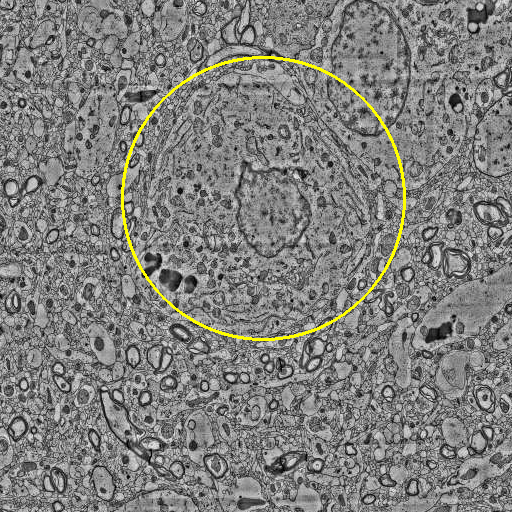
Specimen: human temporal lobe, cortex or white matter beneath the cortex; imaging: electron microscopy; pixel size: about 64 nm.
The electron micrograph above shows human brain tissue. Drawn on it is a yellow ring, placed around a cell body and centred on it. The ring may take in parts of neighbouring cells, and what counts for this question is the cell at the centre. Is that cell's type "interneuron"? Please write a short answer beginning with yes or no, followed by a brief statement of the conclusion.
Yes, its type is the one named.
